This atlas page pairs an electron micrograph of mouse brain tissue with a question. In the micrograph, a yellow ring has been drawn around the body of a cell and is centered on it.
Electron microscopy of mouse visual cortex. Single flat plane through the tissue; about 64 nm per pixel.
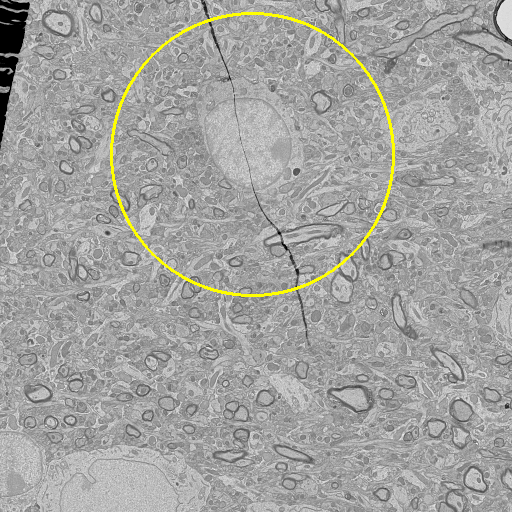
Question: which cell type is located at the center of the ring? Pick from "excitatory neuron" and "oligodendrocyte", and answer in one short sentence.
Located at the center of the ring is an oligodendrocyte.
